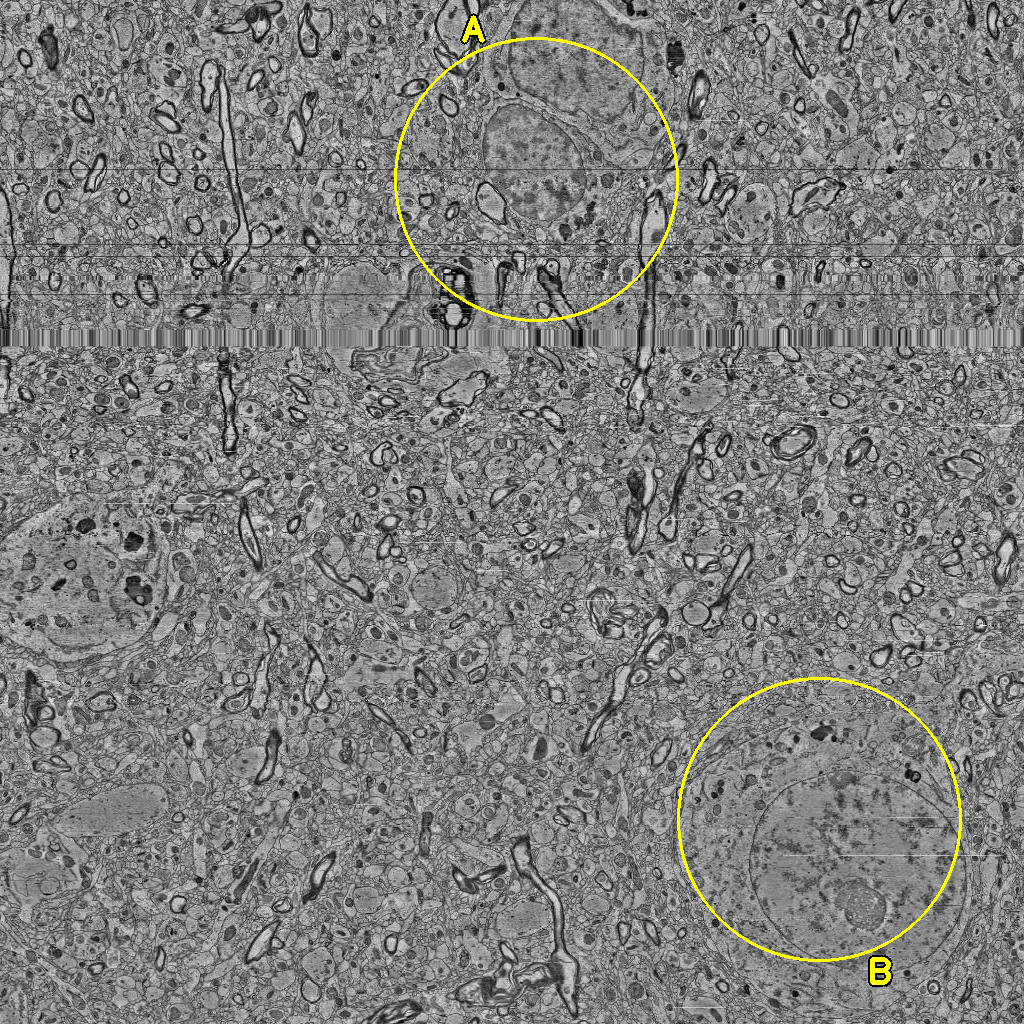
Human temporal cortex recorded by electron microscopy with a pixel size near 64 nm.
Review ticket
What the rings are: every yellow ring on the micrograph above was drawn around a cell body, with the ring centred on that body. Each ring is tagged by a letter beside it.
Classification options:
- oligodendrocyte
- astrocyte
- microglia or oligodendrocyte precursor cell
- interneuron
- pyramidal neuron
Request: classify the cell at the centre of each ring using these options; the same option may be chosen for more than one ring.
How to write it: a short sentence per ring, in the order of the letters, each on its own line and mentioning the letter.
The cell centred in ring A is an oligodendrocyte.
The cell centred in ring B is a pyramidal neuron.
